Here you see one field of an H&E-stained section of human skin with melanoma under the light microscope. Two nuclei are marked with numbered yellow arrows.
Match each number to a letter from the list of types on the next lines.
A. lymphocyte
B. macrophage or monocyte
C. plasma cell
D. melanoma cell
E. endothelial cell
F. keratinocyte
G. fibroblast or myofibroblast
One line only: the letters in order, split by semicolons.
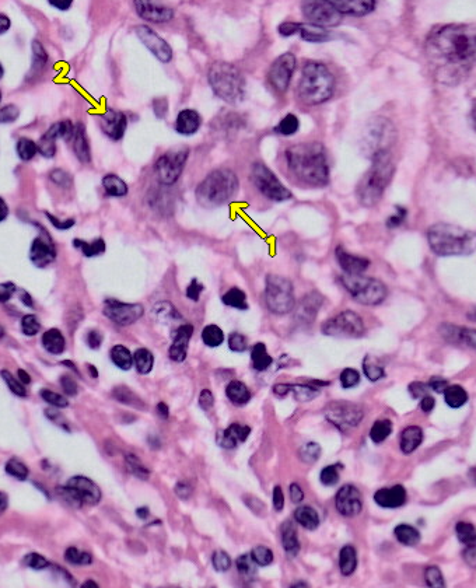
D; B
